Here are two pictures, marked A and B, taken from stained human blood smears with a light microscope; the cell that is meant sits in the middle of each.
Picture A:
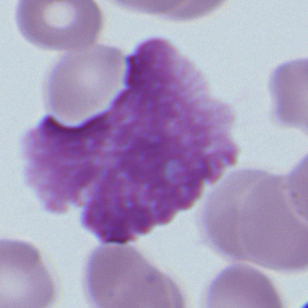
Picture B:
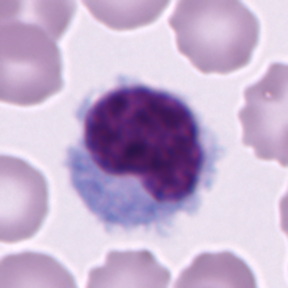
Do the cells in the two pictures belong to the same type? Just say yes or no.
no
